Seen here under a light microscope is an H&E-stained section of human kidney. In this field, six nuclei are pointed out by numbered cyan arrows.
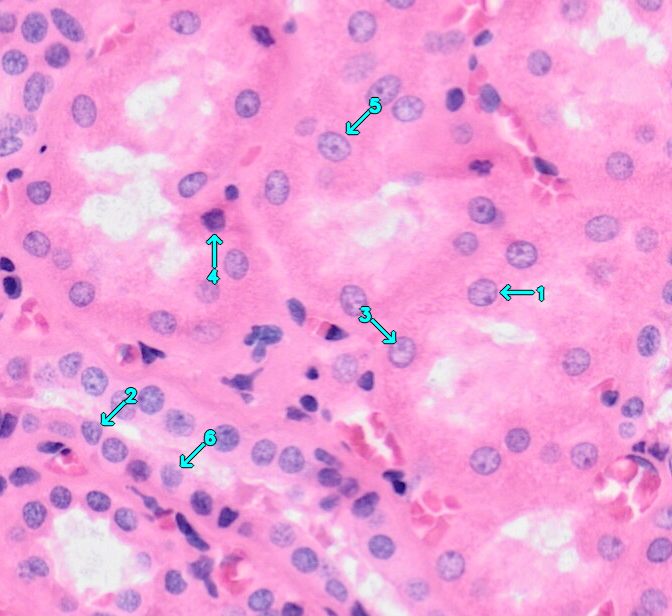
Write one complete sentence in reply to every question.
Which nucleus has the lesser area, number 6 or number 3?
Nucleus 6 is the smaller one; nucleus 3 covers about 1.5 times its area.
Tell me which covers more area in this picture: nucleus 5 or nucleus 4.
Of the two, number 5 is bigger and takes up about 1.5 times the area of number 4.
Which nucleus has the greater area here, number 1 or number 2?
Number 1 is larger; its area is about 1.5 times that of number 2.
